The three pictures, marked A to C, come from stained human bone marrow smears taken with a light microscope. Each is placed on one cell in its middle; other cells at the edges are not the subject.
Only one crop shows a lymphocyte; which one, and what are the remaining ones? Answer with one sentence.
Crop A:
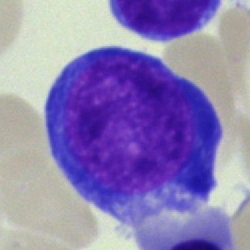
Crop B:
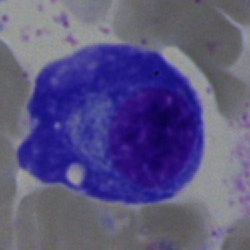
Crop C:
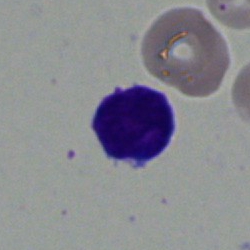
In crop C, the cell at the centre is a lymphocyte, while crop A is a proerythroblast and crop B is a plasma cell.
